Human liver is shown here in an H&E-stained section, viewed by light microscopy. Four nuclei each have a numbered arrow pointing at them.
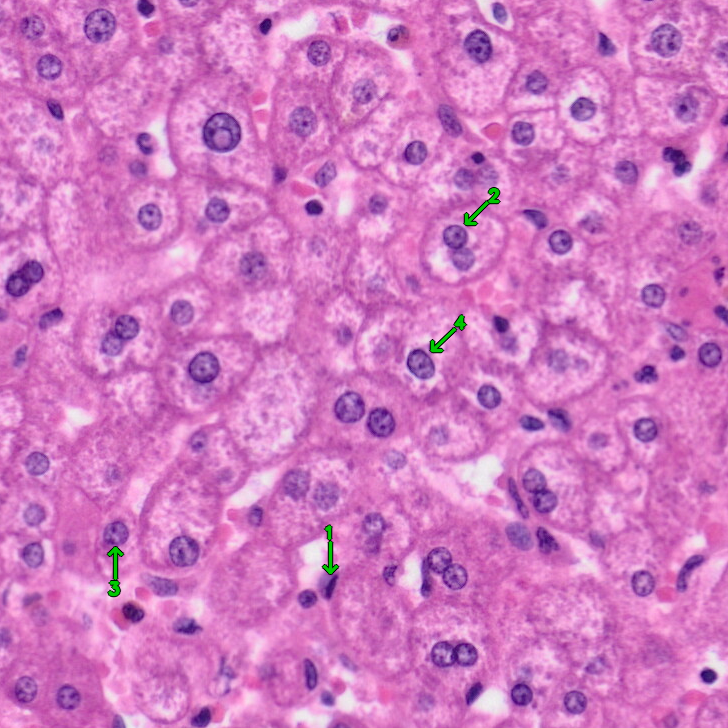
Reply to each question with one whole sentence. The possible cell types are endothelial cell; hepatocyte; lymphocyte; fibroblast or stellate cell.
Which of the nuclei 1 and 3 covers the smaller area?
Nucleus 1 covers less area, with nucleus 3 about 2 times as large.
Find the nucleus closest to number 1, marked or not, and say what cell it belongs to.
The nearest nucleus to number 1 belongs to a lymphocyte.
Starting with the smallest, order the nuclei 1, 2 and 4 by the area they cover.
Smallest first, the nuclei run 1, 2, 4.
